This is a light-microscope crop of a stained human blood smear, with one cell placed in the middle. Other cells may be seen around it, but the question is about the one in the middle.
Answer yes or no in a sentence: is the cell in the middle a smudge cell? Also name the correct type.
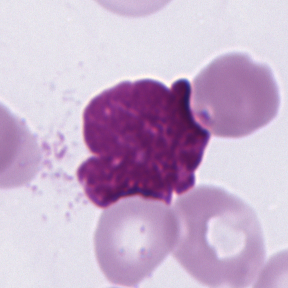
Yes, the centre of the crop holds a smudge cell.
